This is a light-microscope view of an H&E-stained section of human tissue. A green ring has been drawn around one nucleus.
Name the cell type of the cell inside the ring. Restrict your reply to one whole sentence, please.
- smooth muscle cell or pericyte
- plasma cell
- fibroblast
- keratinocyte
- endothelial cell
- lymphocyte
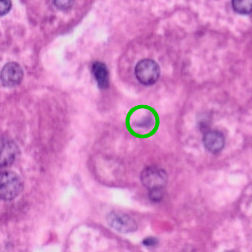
Students should answer that the cell inside the ring is an endothelial cell.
